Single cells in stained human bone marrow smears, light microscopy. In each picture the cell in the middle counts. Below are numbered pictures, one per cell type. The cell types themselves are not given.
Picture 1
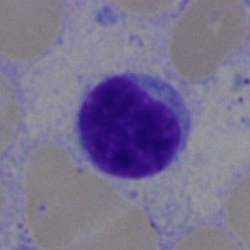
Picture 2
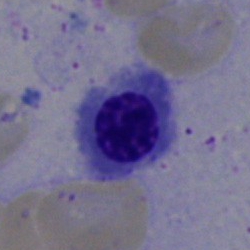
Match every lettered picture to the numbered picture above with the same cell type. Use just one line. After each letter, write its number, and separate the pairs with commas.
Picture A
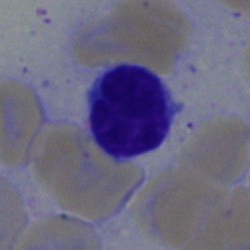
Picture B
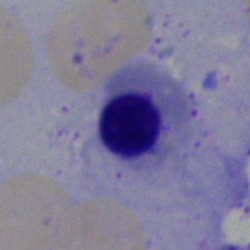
A 1, B 2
